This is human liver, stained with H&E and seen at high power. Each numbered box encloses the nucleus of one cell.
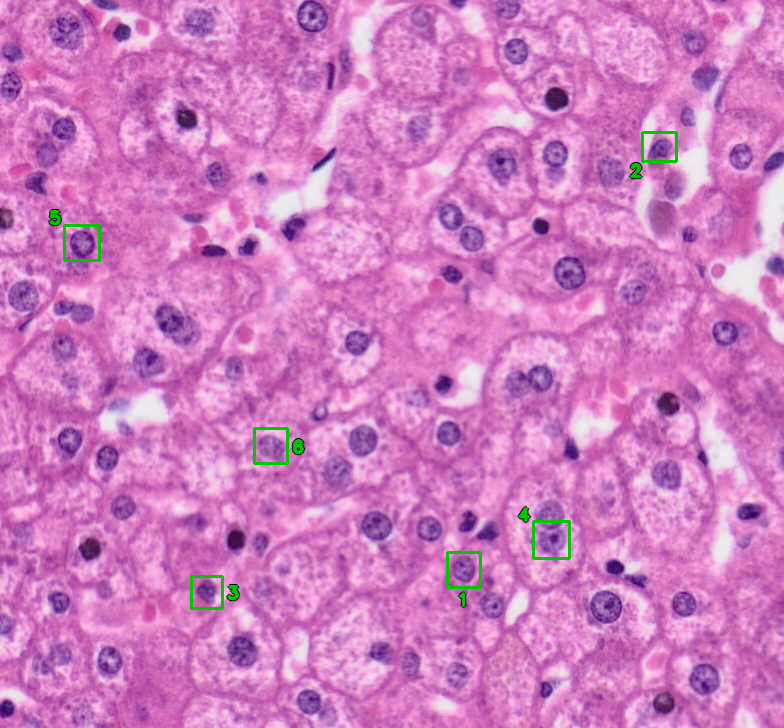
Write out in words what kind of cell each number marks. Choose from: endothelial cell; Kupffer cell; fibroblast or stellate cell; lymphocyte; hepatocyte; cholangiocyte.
Cell 1 is a hepatocyte, cell 2 is a Kupffer cell, cell 3 is an endothelial cell, cell 4 is a hepatocyte, cell 5 is a hepatocyte and cell 6 is a hepatocyte.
